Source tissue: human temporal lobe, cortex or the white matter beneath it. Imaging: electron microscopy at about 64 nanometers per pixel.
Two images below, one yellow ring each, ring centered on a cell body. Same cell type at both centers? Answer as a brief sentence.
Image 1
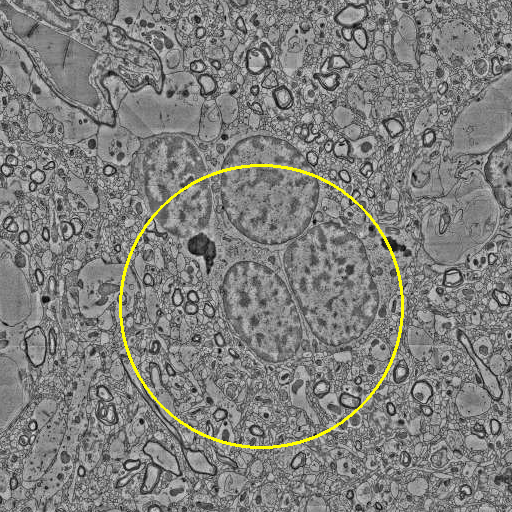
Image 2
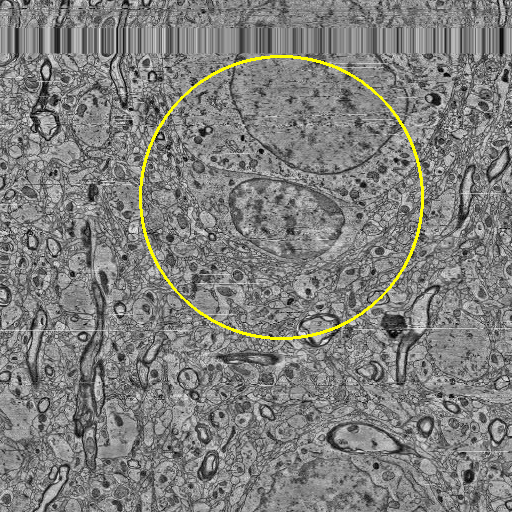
Yes, both cells are of the same type.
